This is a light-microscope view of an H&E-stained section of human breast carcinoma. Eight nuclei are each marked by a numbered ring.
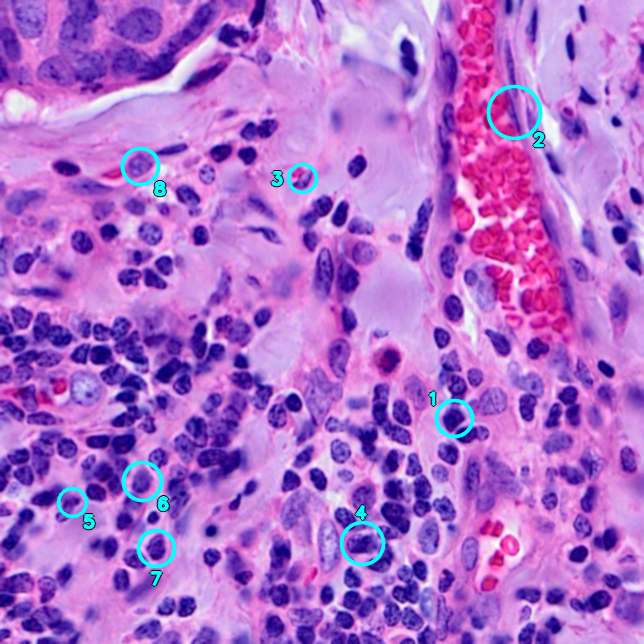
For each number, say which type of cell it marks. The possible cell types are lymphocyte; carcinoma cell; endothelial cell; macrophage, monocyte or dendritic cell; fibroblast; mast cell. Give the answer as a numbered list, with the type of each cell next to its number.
1. lymphocyte
2. endothelial cell
3. endothelial cell
4. lymphocyte
5. lymphocyte
6. lymphocyte
7. lymphocyte
8. endothelial cell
